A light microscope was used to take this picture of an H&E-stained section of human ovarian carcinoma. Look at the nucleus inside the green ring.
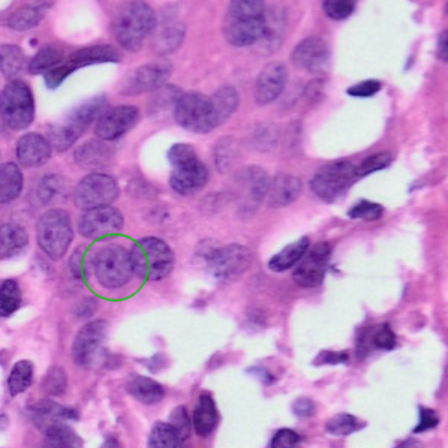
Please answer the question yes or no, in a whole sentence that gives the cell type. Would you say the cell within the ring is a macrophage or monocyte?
No, write a carcinoma cell for the cell within the ring rather than a macrophage or monocyte.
